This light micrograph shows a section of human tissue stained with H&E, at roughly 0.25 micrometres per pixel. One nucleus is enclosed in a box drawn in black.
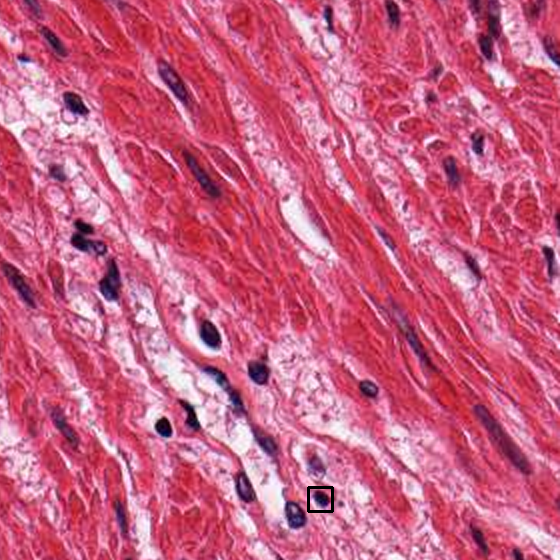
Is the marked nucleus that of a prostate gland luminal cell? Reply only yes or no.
no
